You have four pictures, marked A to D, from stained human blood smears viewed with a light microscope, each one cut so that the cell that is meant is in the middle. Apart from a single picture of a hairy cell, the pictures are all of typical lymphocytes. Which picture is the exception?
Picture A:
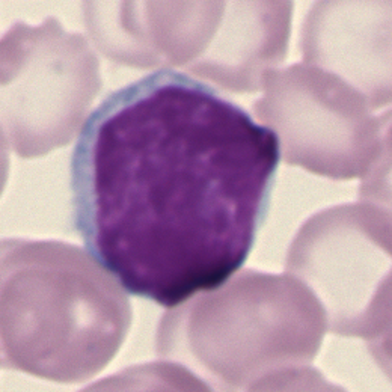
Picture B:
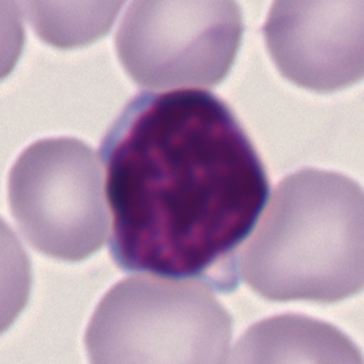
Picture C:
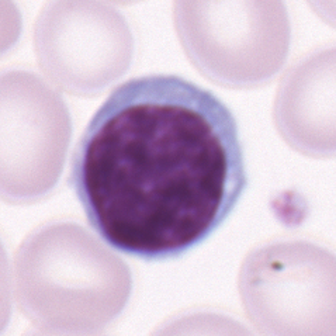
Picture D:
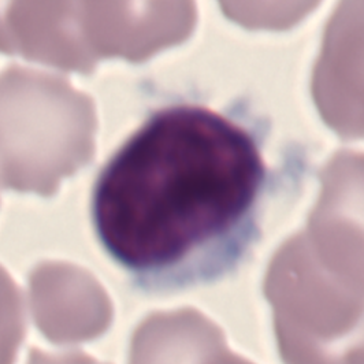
D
